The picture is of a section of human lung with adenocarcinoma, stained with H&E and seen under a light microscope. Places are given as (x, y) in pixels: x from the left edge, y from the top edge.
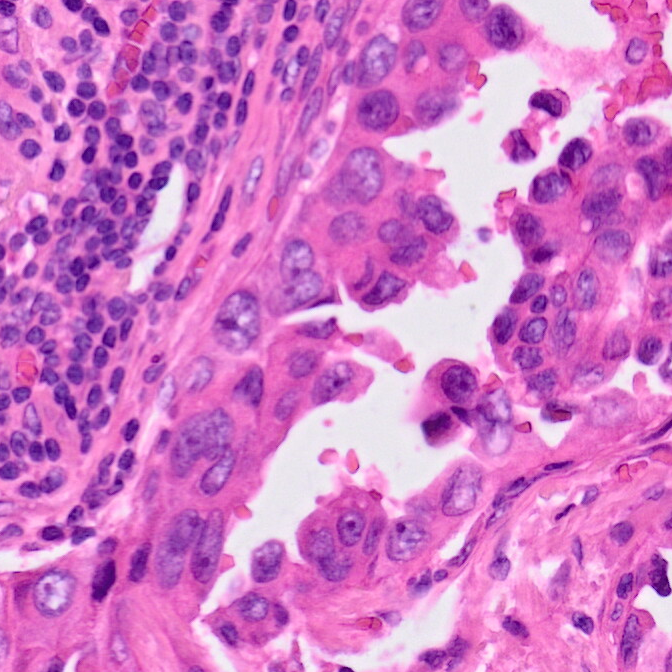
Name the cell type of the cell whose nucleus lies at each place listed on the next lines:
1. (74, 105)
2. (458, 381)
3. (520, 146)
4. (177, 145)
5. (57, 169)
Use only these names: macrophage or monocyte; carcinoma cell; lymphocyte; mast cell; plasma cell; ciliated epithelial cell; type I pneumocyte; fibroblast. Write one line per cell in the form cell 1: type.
cell 1: lymphocyte
cell 2: carcinoma cell
cell 3: carcinoma cell
cell 4: lymphocyte
cell 5: lymphocyte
